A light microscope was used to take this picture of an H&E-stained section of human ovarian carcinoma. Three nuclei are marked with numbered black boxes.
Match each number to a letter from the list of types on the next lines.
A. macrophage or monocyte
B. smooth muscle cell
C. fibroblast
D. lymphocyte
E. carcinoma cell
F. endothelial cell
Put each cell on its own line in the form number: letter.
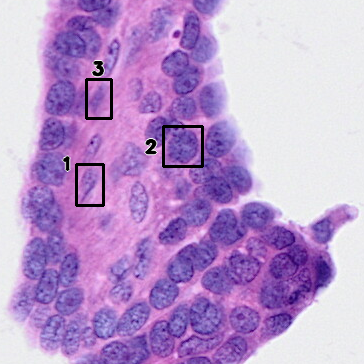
1: C
2: E
3: C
